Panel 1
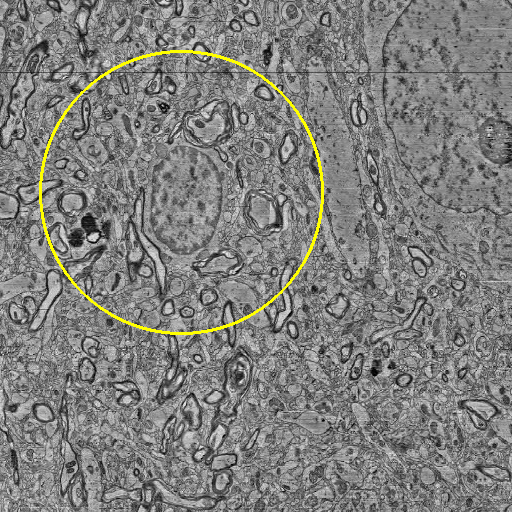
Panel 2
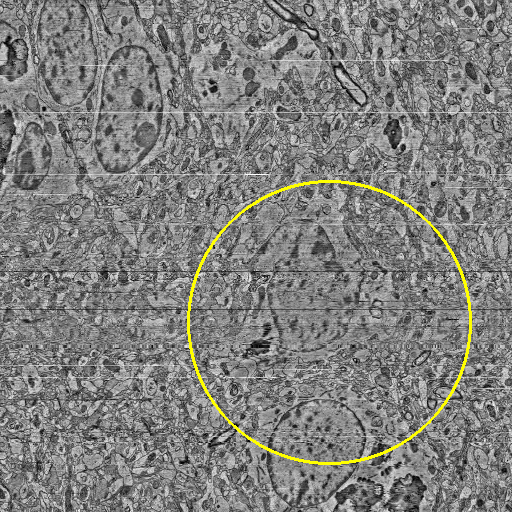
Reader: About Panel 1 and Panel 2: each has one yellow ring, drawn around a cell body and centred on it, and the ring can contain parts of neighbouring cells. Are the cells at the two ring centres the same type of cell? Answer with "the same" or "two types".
two types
